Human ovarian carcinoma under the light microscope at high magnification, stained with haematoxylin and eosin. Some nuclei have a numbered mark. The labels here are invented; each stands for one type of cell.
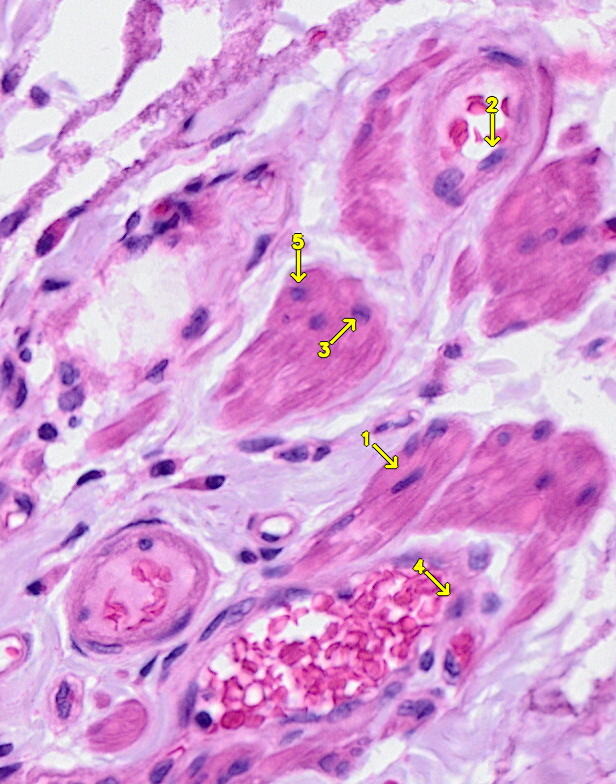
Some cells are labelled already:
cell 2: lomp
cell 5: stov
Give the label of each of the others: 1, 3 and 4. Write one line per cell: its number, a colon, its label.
1: stov
3: stov
4: lomp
